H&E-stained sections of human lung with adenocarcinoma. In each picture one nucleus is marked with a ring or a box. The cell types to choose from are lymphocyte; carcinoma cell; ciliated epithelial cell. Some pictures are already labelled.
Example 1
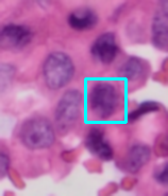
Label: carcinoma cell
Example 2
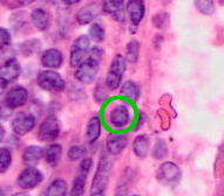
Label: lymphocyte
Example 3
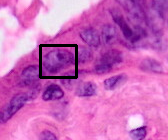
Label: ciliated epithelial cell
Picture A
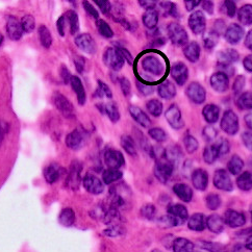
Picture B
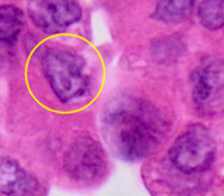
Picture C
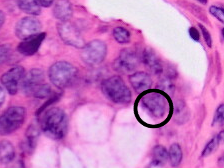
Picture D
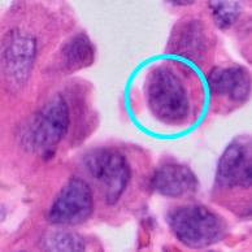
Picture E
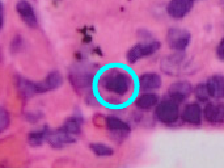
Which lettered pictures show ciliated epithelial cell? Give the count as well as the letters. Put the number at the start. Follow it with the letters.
1, namely C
